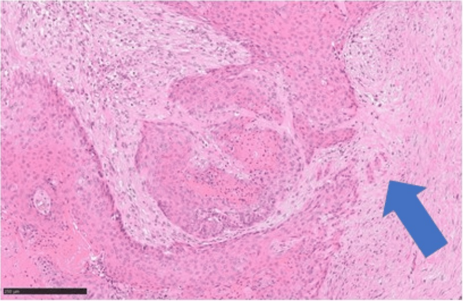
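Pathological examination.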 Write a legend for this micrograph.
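Irregular nests and sheets of large epithelial cells with plentiful pink cytoplasm lie within a pale, fibrous stroma of spindle cells. The cells within the nests resemble mature squamous cells, with fairly uniform nuclei and glassy eosinophilic cytoplasm, and some nests contain pinker keratinizing centres. At one side, tongues of these epithelial cells reach out from the nests into the surrounding stroma without a smooth border. This is a well differentiated squamous cell carcinoma, with tumour cells invading the stroma.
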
